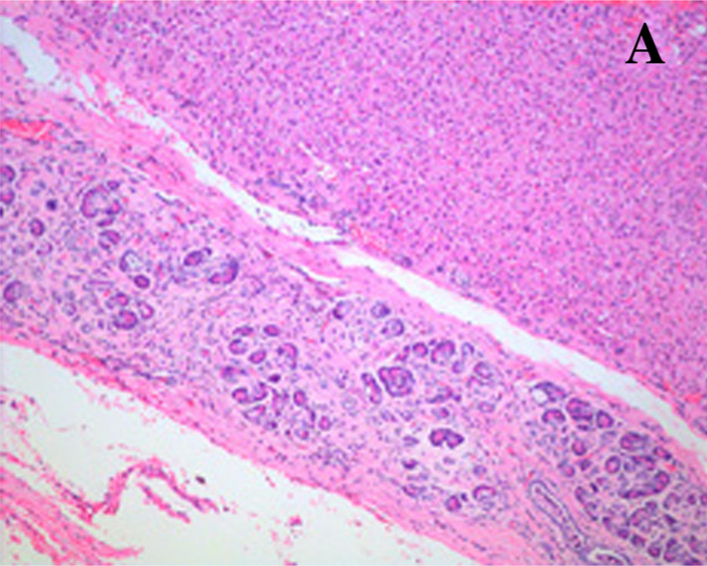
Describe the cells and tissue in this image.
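At low power a band of pancreatic tissue runs along the wall, made of many small rounded purple acinar clusters scattered through pinker fibrous tissue, with a few duct-like tubular structures among them. Above it, separated by a thin pink fibrous line and a narrow cleft, lies a broad, densely cellular purple area.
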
